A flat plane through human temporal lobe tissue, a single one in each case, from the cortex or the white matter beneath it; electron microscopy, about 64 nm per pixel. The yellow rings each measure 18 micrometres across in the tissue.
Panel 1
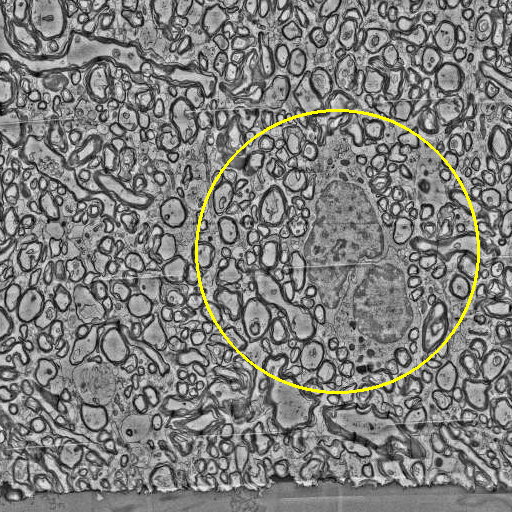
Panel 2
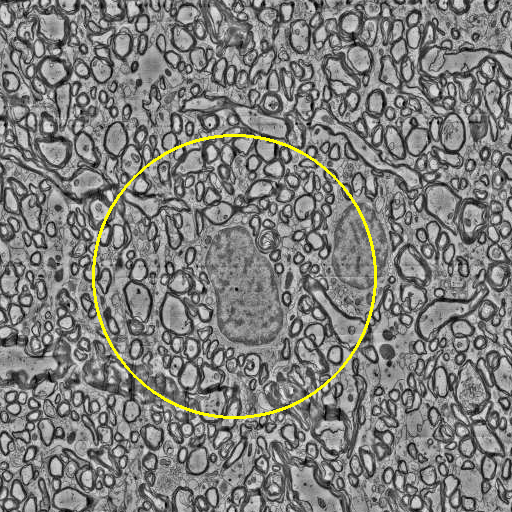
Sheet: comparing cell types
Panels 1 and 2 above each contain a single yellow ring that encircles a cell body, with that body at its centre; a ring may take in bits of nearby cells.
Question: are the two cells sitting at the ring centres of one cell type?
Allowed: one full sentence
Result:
Yes, the ring-centre cells in Panel 1 and Panel 2 are of one type.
